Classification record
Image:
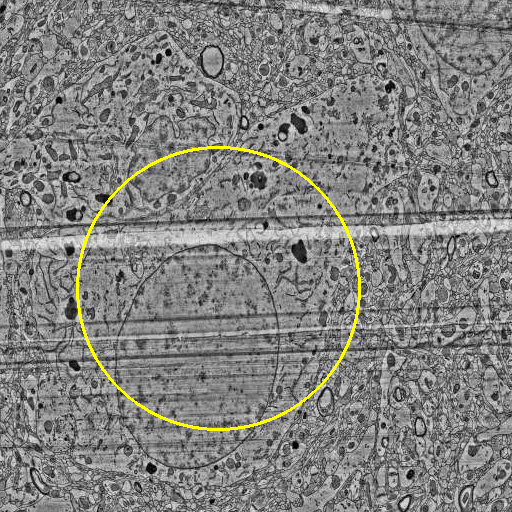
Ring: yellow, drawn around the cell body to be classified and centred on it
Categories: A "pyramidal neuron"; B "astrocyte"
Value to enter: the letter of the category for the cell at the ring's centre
A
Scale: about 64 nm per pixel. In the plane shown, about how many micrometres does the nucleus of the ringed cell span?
Roughly 14 by 11 micrometres is the size of the nucleus in this plane.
